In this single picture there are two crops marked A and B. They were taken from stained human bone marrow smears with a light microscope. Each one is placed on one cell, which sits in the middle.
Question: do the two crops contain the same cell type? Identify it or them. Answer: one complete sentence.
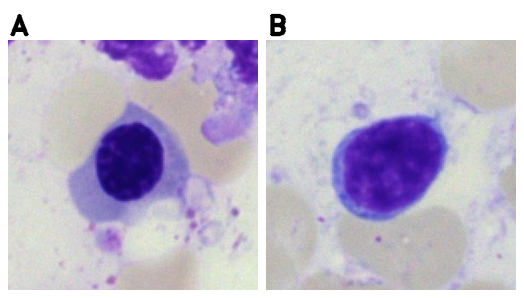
No, whereas crop A shows an erythroblast, crop B shows a lymphocyte.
